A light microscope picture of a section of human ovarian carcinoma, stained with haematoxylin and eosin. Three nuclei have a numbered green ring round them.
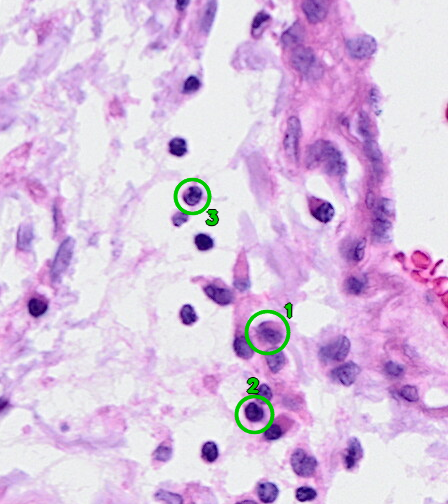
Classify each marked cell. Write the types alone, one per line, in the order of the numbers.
macrophage or monocyte
lymphocyte
lymphocyte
